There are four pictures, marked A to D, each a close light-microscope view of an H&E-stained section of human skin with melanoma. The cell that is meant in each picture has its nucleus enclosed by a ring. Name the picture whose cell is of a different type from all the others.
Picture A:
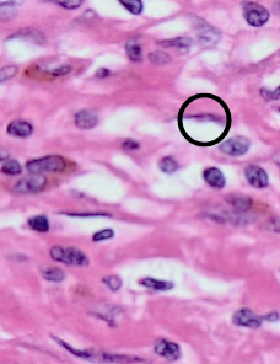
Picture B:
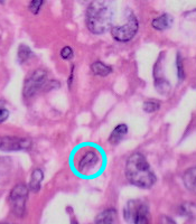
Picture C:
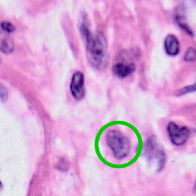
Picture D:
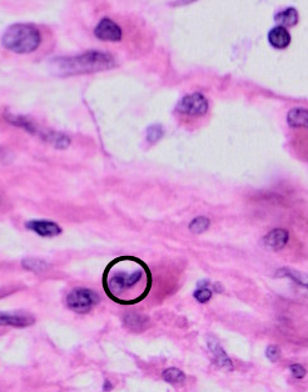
A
